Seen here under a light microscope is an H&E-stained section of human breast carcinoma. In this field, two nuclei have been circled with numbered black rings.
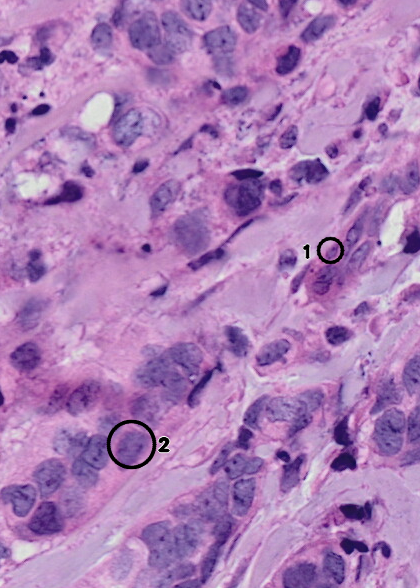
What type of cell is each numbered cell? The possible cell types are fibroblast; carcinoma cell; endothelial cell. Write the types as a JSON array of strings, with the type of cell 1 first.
["endothelial cell", "carcinoma cell"]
